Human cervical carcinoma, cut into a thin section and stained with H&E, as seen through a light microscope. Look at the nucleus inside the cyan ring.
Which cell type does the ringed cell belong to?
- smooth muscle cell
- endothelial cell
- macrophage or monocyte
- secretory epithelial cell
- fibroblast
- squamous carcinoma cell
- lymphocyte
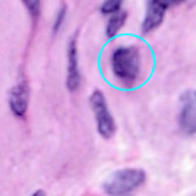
fibroblast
